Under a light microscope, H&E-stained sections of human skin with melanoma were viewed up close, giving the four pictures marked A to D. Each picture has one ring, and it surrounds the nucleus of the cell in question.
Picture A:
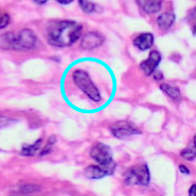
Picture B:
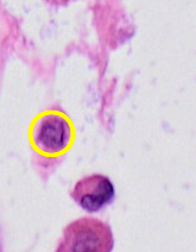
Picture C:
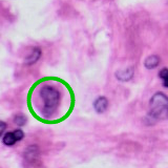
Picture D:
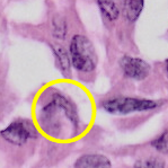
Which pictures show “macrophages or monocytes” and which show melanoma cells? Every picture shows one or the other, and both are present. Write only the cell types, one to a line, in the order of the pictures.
macrophage or monocyte
macrophage or monocyte
macrophage or monocyte
melanoma cell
